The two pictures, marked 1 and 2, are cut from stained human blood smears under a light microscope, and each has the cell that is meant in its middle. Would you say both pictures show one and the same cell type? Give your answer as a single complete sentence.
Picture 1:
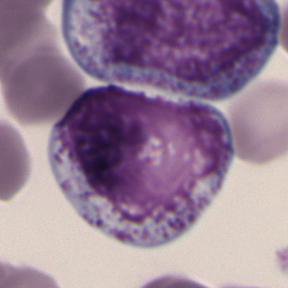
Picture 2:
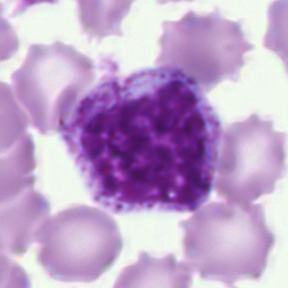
Yes, both are myelocytes.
